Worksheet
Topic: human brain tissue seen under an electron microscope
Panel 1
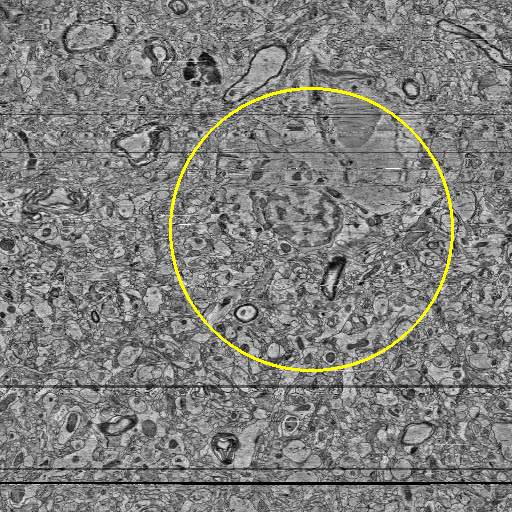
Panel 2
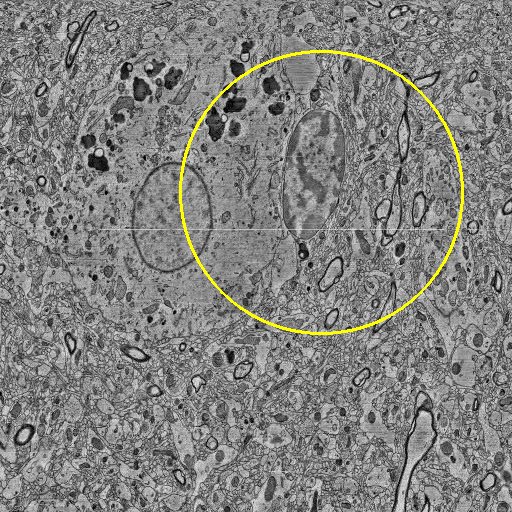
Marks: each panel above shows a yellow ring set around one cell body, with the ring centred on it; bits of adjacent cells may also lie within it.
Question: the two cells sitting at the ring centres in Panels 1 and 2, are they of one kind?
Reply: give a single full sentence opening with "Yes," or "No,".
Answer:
No, the two ring-centre cells in Panel 1 and Panel 2 are of two kinds.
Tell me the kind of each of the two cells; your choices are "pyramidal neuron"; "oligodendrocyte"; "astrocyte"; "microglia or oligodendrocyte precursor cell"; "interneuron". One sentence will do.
The ringed cell is an oligodendrocyte in the first picture and a microglial cell or oligodendrocyte precursor cell in the second picture.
